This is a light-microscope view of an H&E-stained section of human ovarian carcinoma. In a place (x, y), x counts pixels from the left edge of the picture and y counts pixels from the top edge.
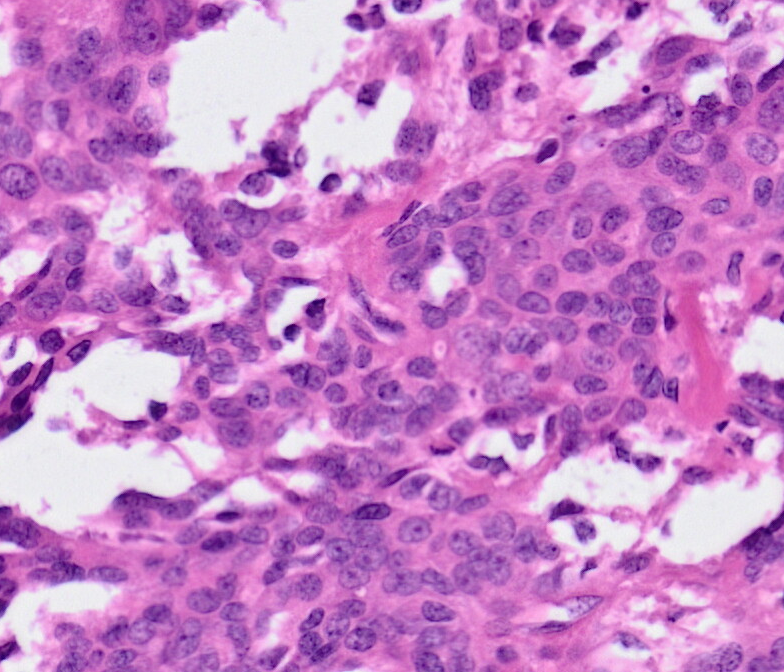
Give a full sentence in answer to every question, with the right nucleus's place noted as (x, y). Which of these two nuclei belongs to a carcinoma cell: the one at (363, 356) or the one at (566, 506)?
Between the two nuclei, the one sitting at (566, 506) belongs to a carcinoma cell.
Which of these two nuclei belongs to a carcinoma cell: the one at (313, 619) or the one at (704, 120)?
The nucleus at (704, 120) is the one of the two that belongs to a carcinoma cell.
